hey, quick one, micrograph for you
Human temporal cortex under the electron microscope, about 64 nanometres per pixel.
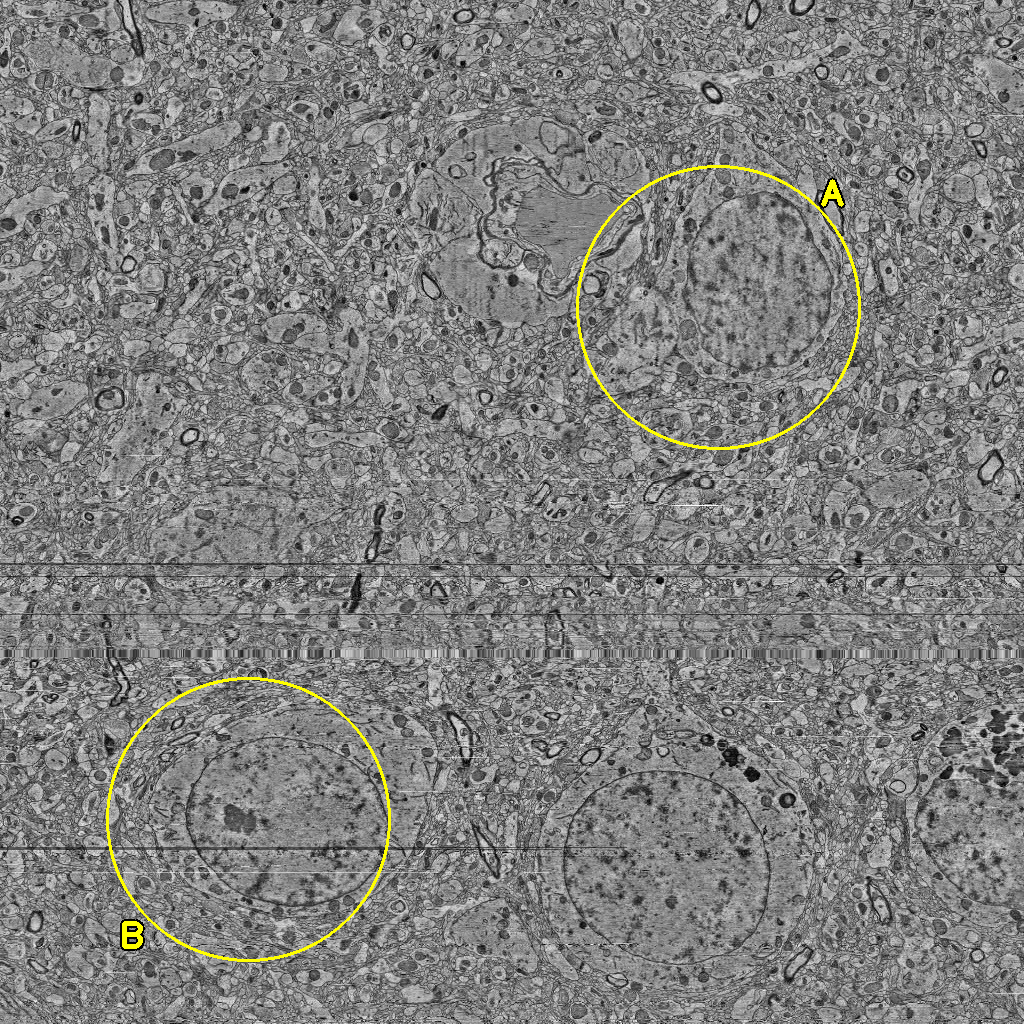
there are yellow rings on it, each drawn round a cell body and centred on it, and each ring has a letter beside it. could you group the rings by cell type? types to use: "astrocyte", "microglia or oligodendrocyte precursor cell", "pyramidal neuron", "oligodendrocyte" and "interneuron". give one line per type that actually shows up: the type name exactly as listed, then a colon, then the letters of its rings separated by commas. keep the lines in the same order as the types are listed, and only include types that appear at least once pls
pyramidal neuron: B
interneuron: A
